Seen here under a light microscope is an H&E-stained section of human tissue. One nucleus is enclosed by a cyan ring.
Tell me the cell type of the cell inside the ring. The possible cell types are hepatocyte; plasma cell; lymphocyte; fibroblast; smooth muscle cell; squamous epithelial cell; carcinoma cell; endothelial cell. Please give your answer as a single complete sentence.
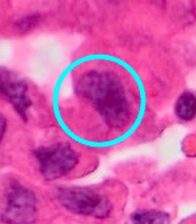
Labelled by cell type, the cell inside the ring is a carcinoma cell.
